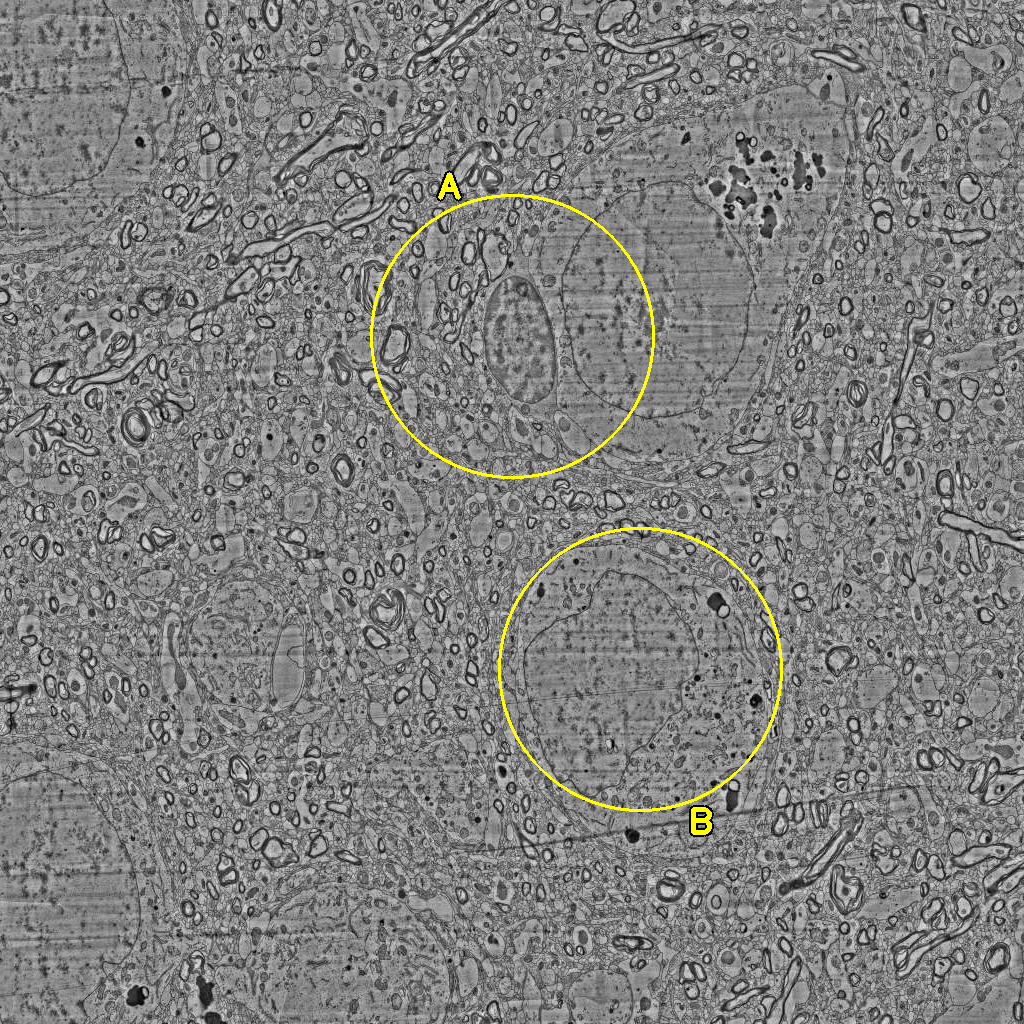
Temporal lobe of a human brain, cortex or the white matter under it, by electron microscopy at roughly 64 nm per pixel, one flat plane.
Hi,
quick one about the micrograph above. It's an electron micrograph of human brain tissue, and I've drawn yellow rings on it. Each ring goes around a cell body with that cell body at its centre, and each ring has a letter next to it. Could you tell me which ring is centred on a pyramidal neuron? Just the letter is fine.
B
